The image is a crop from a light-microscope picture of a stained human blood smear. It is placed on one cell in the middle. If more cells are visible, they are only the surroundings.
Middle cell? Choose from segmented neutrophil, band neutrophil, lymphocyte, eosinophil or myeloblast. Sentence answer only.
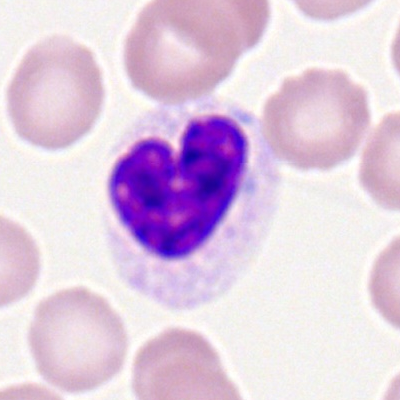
The cell centred in this crop is categorized as a band neutrophil.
